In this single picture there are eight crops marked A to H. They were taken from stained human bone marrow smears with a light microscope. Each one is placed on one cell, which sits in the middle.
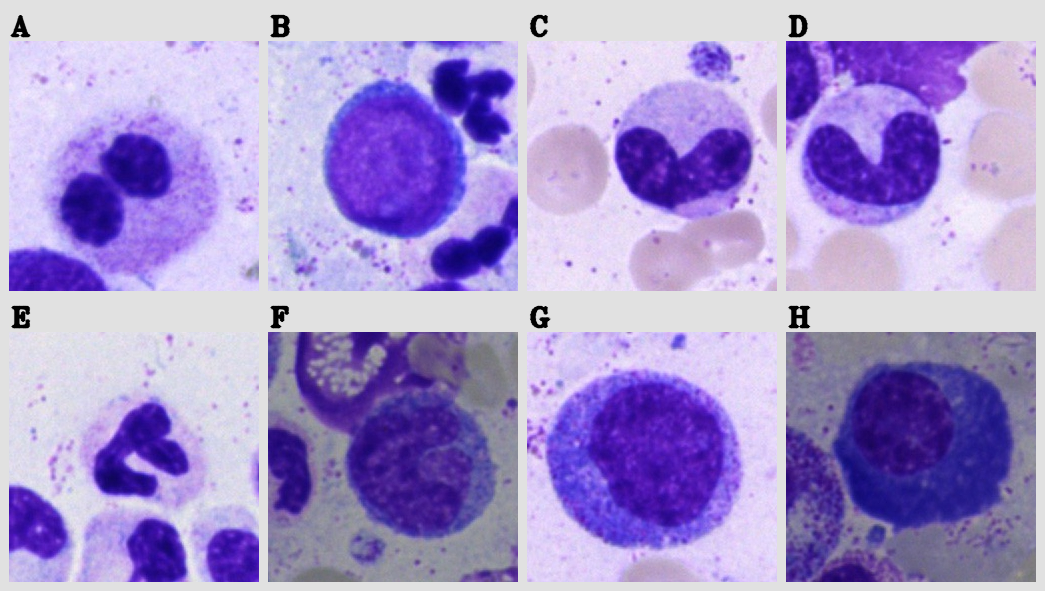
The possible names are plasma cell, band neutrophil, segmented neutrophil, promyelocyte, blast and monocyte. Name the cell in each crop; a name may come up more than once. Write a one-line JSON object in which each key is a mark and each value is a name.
{"A": "segmented neutrophil", "B": "blast", "C": "band neutrophil", "D": "band neutrophil", "E": "segmented neutrophil", "F": "monocyte", "G": "promyelocyte", "H": "plasma cell"}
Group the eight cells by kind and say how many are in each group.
segmented neutrophil: 2
band neutrophil: 2
blast: 1
monocyte: 1
promyelocyte: 1
plasma cell: 1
